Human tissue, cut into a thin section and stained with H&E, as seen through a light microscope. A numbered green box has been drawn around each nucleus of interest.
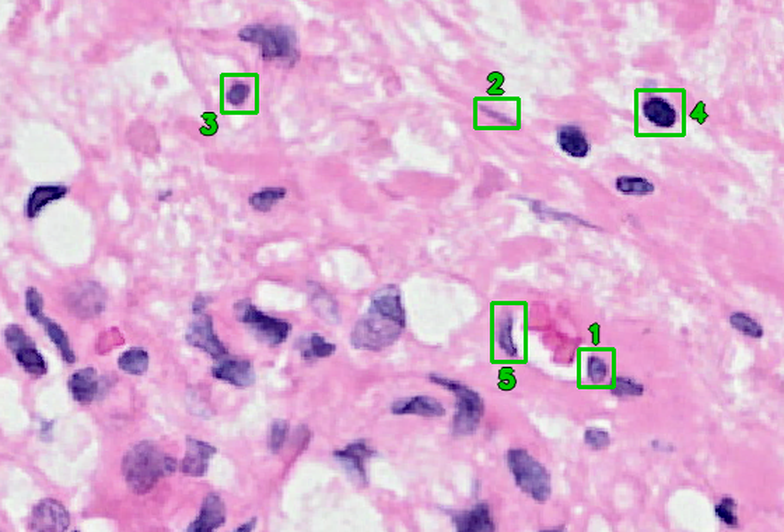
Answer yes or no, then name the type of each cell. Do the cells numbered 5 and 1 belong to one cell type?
Yes, cells 5 and 1 both qualify as endothelial cells.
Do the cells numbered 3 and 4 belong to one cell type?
Yes, cells 3 and 4 both count as lymphocytes.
